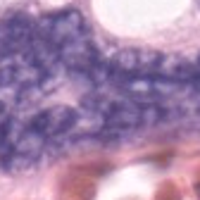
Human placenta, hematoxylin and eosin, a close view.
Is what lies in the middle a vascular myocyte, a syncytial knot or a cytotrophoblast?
It is a syncytial knot.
